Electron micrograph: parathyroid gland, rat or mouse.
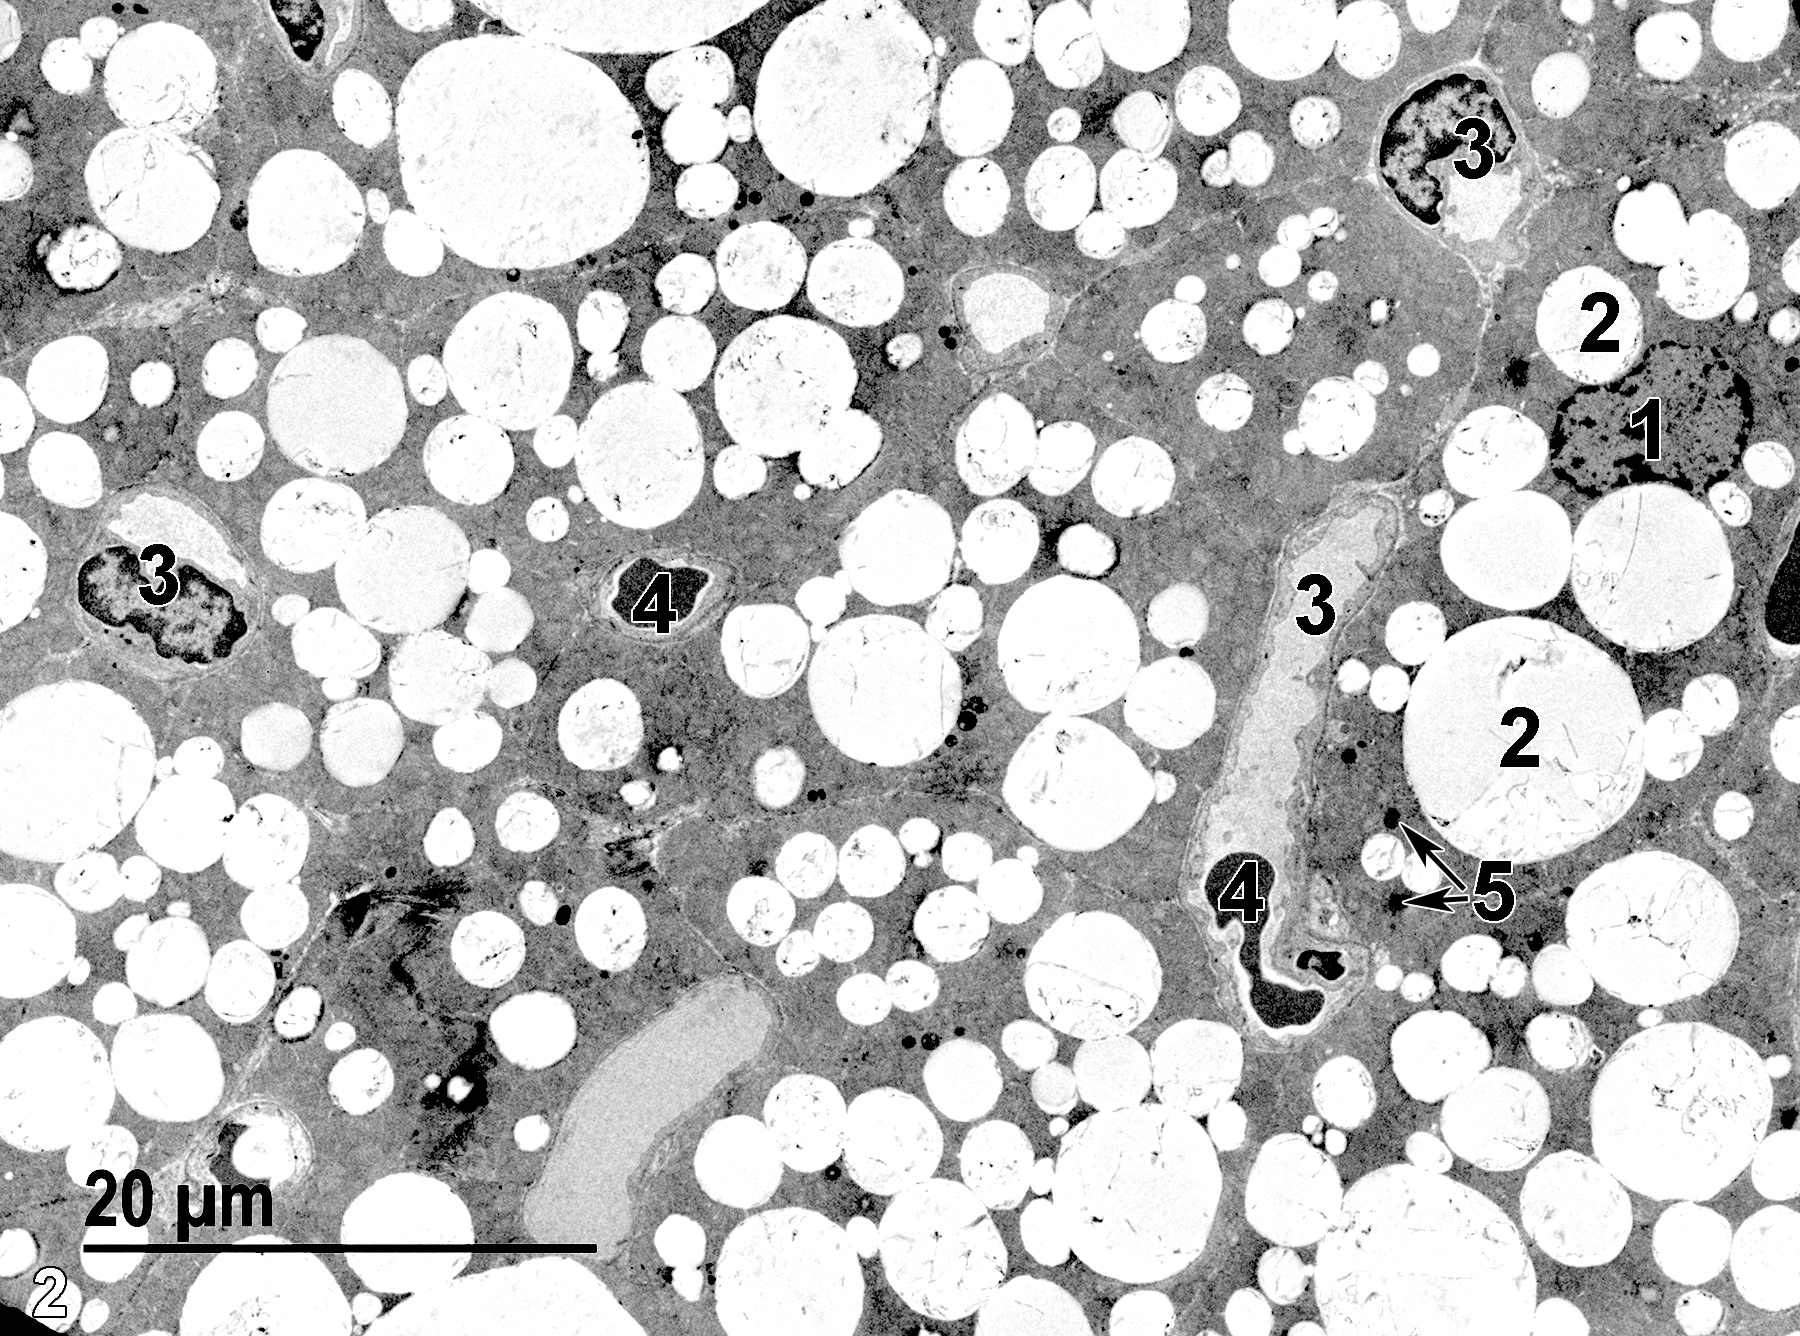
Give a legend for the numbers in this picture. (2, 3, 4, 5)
2 lipid bodies
3 septal capillaries
4 erythrocytes
5 lysosomes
